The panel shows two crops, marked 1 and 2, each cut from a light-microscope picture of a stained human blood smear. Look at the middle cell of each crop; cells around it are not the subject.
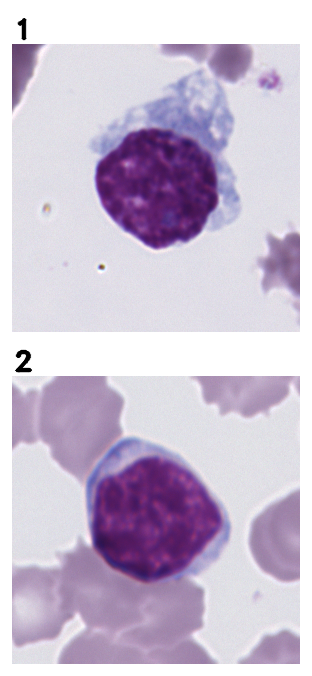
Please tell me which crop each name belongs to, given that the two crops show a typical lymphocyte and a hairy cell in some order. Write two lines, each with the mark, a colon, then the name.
1: hairy cell
2: typical lymphocyte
